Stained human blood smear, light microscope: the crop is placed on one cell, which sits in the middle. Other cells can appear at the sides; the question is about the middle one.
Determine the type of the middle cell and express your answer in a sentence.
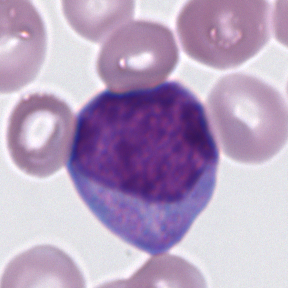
For this crop, the central cell is an atypical promyelocyte.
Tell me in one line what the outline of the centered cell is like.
No projections interrupt the outline; it is smooth all the way round.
